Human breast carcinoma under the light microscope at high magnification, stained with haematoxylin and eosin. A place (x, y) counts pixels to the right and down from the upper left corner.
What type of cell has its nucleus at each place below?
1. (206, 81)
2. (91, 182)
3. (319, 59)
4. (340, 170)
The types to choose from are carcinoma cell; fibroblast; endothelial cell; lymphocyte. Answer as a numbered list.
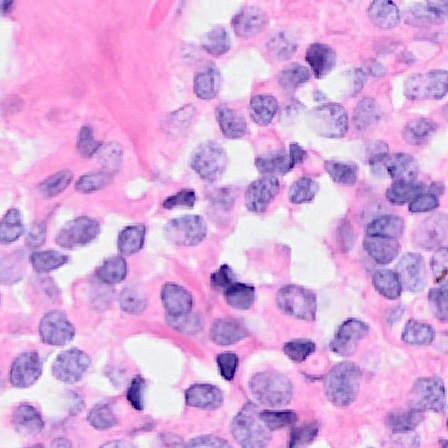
1. carcinoma cell
2. endothelial cell
3. carcinoma cell
4. carcinoma cell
